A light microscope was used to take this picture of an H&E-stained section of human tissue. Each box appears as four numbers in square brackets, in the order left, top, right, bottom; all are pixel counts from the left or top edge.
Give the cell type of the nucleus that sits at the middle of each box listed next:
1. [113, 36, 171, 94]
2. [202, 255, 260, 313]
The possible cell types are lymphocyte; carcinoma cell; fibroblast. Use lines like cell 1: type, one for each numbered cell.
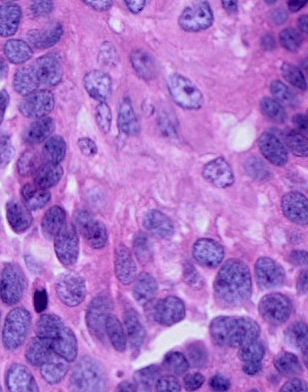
cell 1: fibroblast
cell 2: carcinoma cell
